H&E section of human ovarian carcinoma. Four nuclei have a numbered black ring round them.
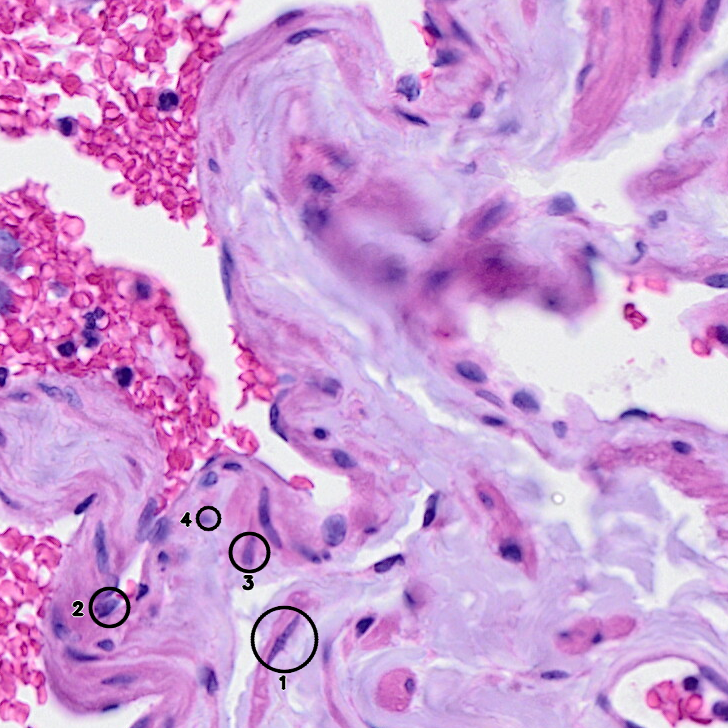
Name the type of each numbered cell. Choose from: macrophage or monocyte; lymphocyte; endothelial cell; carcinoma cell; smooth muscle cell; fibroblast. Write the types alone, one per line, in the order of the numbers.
smooth muscle cell
endothelial cell
smooth muscle cell
smooth muscle cell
